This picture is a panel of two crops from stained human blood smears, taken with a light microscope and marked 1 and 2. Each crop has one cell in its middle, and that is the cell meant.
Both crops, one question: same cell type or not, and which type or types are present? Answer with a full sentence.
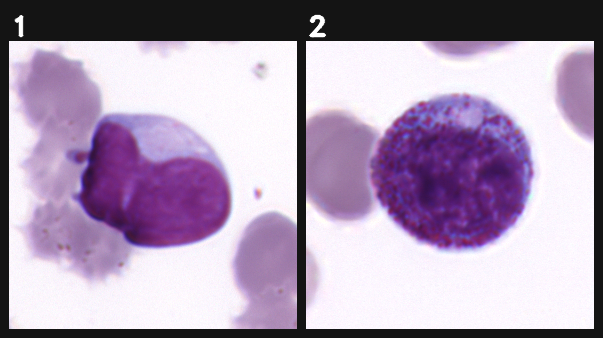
No, it is crop 1 that shows a blast, and crop 2 that shows a promyelocyte.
